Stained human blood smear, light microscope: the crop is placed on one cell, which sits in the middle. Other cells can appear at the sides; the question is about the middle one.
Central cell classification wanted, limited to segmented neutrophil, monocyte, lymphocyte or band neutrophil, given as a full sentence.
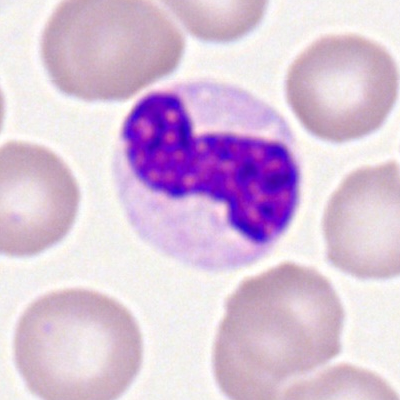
Located at the centre of the crop is a band neutrophil.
